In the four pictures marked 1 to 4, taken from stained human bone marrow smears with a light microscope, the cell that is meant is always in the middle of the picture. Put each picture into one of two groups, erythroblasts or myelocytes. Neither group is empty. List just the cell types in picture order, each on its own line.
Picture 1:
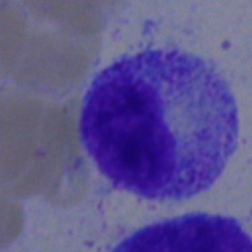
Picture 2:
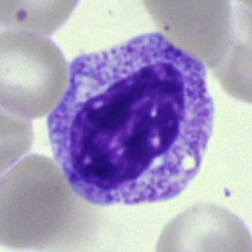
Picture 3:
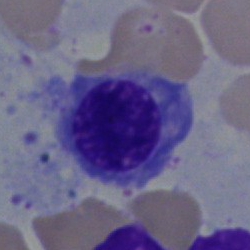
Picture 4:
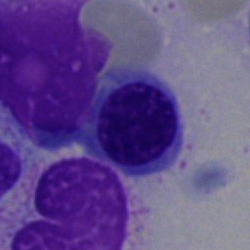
myelocyte
myelocyte
erythroblast
erythroblast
